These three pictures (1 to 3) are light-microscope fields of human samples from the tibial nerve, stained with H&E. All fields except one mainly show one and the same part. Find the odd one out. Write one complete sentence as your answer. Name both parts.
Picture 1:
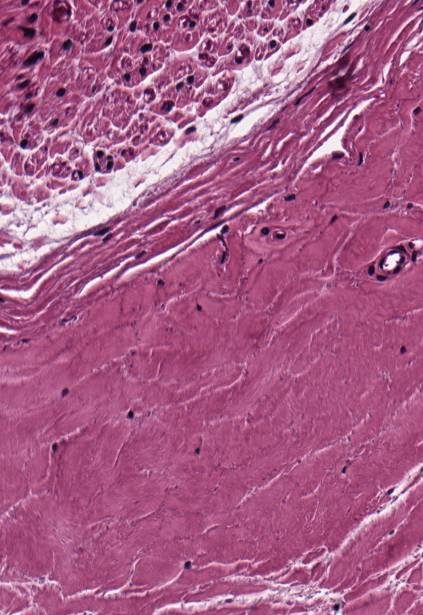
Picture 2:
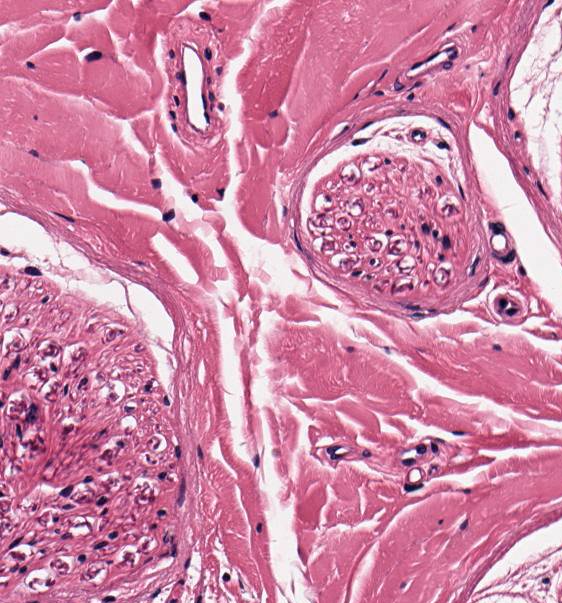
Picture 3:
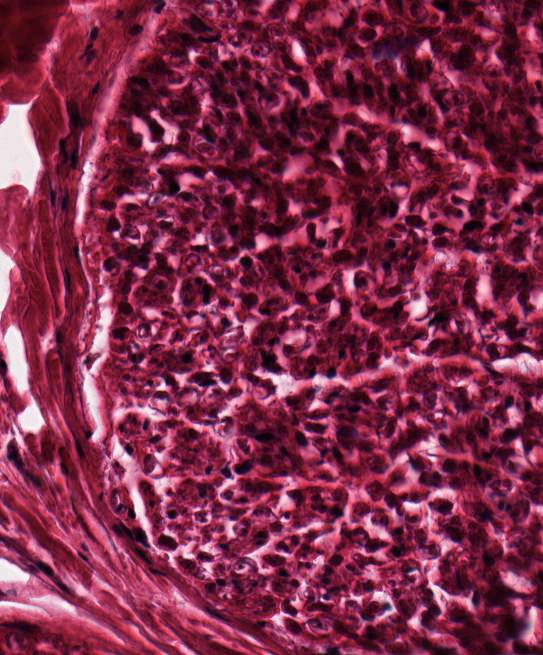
All pictures except 3 mainly show the epineurium; picture 3 mainly shows nerve fascicles.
